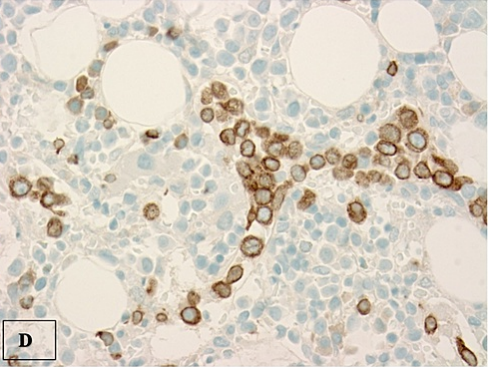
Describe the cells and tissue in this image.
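The brown cells are round, with the colour concentrated as a ring around each cell, and they are larger than most of the unstained cells nearby. They do not scatter at random: they line up in narrow, branching channels and small clusters squeezed between the clear round fat spaces. The surrounding unstained marrow cells have smaller, blue nuclei and form the background in which these brown chains run.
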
